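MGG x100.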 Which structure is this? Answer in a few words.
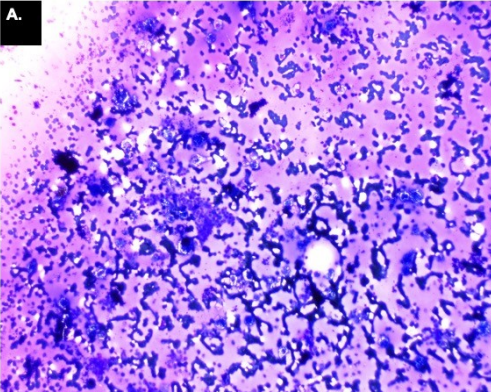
Abundant colloid.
